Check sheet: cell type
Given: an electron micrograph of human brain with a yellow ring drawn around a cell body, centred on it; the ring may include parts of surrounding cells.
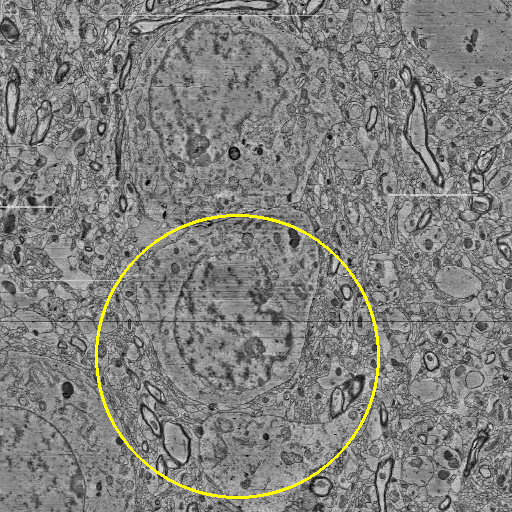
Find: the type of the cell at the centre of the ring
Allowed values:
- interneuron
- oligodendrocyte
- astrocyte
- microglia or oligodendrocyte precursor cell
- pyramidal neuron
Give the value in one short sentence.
Here the ringed cell is an interneuron.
